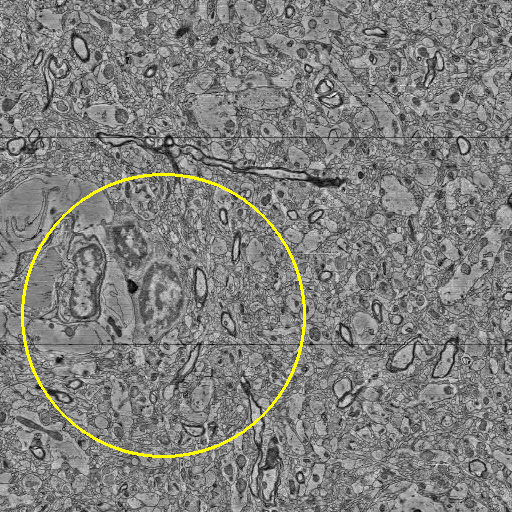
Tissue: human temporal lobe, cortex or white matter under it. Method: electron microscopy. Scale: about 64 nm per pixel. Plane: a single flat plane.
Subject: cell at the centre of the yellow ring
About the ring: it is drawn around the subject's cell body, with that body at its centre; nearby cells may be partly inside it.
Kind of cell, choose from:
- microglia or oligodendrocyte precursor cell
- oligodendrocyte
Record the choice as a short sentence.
The subject cell is an oligodendrocyte.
